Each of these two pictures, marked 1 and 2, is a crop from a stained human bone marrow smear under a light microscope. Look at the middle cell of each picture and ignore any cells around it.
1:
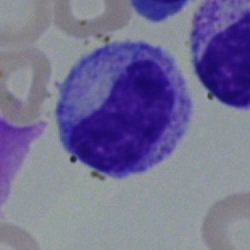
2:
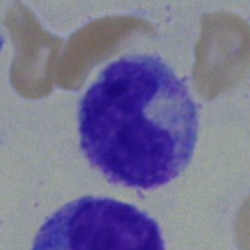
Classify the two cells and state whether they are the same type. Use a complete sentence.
Yes, the cells that both crops show at the centre are metamyelocytes.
